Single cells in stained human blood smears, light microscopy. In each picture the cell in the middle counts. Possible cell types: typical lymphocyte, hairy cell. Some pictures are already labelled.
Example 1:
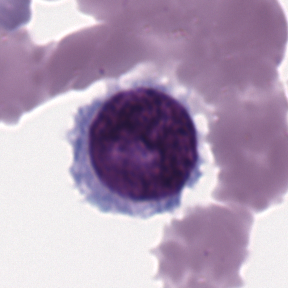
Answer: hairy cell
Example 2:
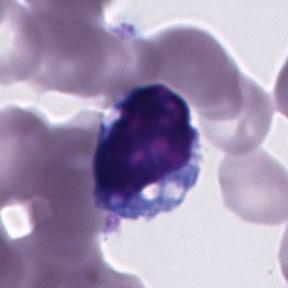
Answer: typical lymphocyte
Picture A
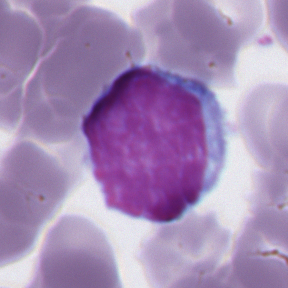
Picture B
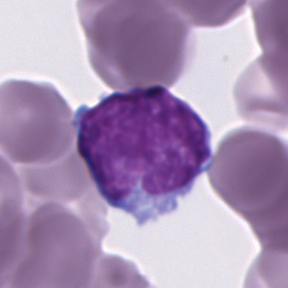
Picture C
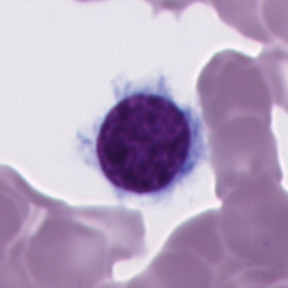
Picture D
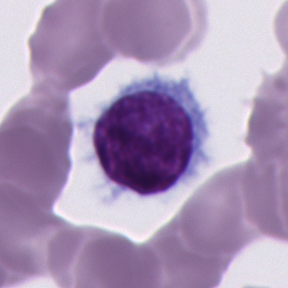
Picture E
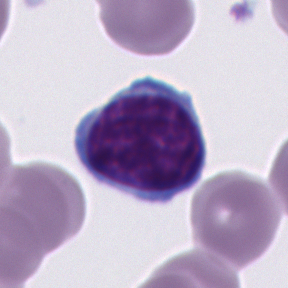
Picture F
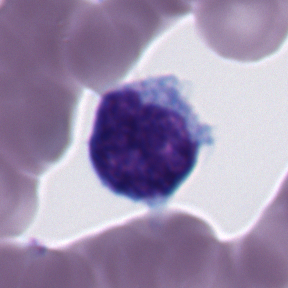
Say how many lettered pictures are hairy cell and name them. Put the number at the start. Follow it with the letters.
2, namely C, D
